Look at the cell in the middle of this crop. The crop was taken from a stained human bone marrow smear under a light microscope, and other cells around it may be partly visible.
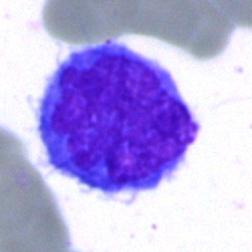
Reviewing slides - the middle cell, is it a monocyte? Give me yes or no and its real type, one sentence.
No, the central cell here is a blast; calling it a monocyte is not right.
